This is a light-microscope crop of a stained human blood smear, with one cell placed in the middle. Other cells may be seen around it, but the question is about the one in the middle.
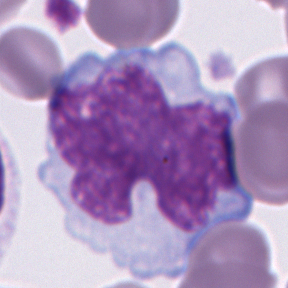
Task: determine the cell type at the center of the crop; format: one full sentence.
The middle cell in this particular crop is a monocyte.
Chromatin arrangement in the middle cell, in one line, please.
The chromatin pattern is fine and free of coarse clumps.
